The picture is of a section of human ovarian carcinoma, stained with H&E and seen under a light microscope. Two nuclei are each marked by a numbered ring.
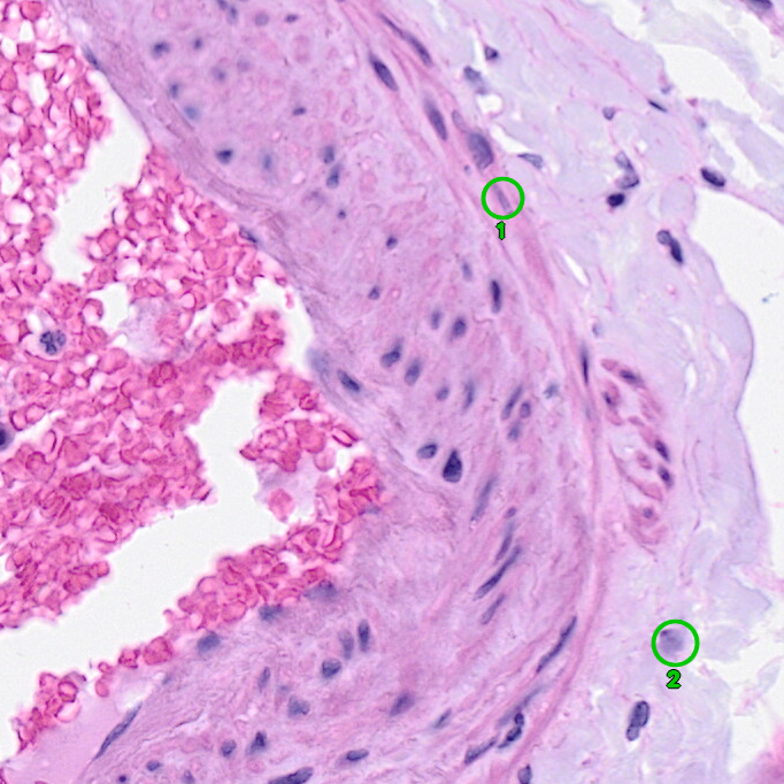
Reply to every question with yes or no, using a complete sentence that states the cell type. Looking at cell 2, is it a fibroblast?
Yes, the cell distinguished by number 2 is a fibroblast.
